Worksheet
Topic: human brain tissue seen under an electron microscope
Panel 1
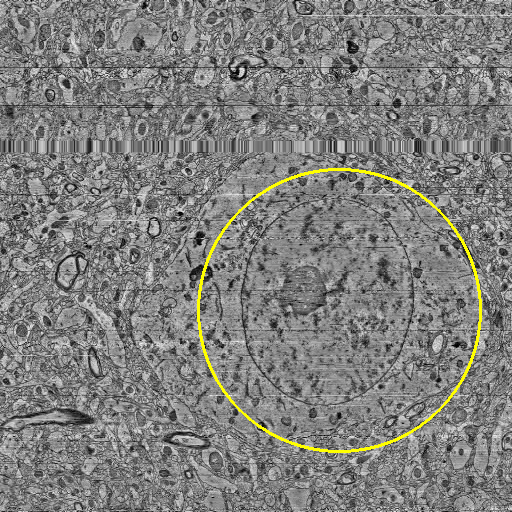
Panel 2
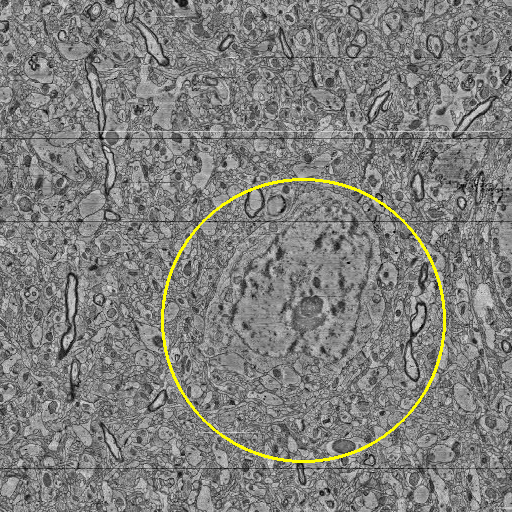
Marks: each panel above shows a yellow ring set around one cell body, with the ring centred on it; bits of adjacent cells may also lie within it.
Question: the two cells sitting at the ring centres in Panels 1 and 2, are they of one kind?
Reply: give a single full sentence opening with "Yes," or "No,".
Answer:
No, the two ring-centre cells in Panel 1 and Panel 2 are of two kinds.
